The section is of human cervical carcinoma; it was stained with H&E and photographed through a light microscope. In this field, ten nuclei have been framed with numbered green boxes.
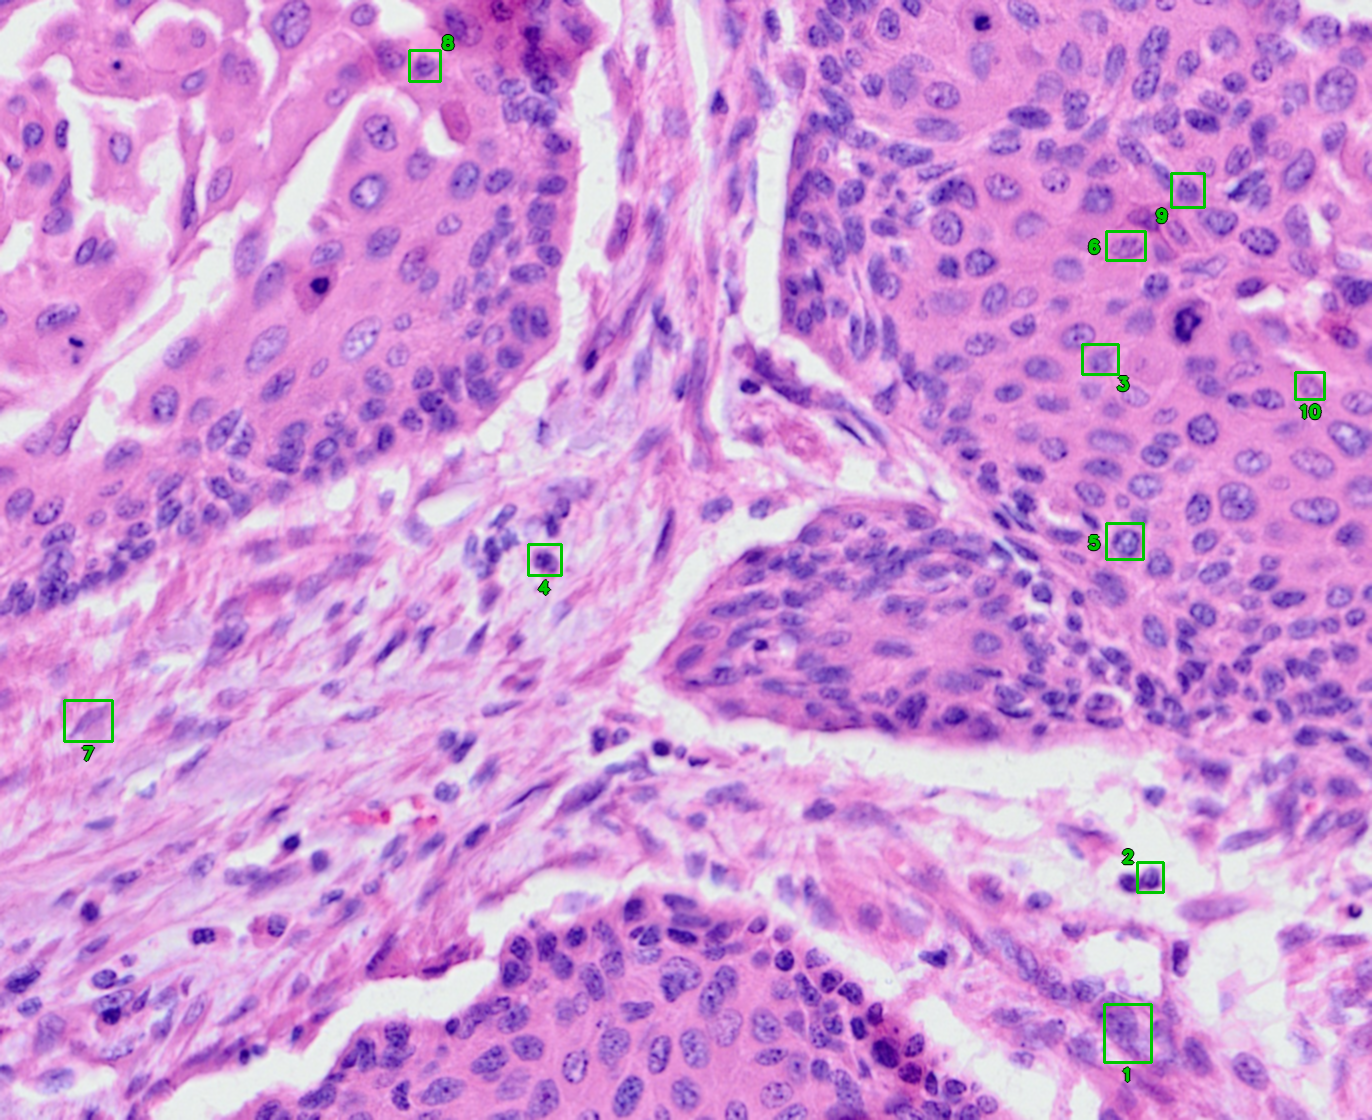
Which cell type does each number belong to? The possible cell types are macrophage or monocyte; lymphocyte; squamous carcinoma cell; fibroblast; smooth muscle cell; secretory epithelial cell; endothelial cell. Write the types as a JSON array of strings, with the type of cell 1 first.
["fibroblast", "lymphocyte", "squamous carcinoma cell", "lymphocyte", "squamous carcinoma cell", "squamous carcinoma cell", "fibroblast", "squamous carcinoma cell", "squamous carcinoma cell", "squamous carcinoma cell"]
